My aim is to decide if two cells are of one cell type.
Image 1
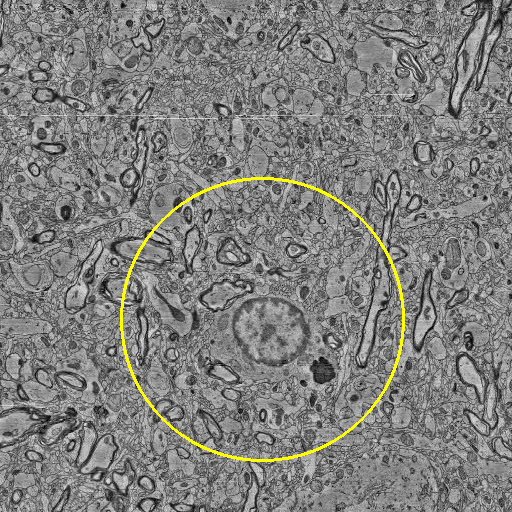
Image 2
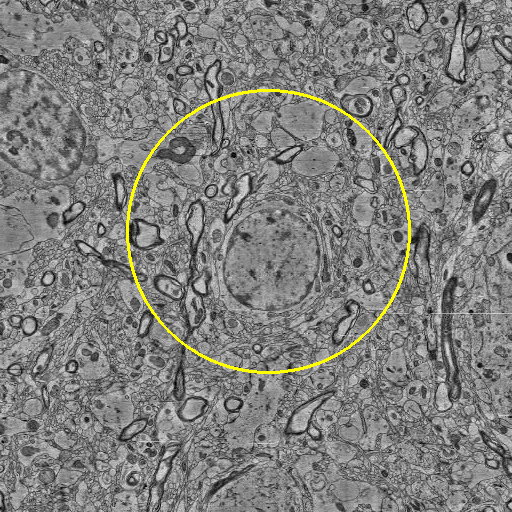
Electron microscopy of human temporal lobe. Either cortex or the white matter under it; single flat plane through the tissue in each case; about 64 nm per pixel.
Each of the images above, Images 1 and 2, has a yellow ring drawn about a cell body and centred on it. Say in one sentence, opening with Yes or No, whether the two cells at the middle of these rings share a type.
No, in Images 1 and 2 the cells at the middle of the rings fall into two types.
